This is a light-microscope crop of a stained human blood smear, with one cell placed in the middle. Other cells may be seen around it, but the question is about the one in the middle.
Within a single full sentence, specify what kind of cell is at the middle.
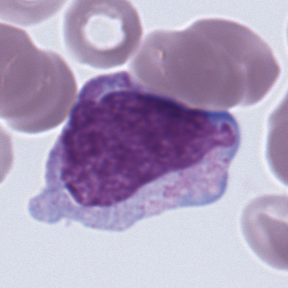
Answering briefly, the cell in the middle is an atypical promyelocyte.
